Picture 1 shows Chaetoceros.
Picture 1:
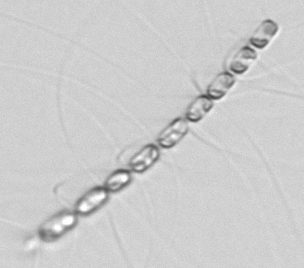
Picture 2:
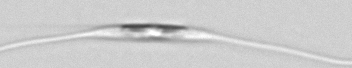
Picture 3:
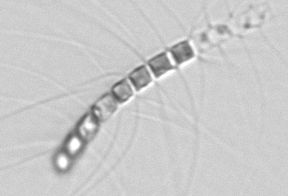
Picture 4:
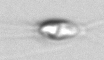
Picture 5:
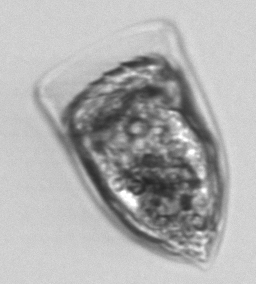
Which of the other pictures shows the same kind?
Picture 3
